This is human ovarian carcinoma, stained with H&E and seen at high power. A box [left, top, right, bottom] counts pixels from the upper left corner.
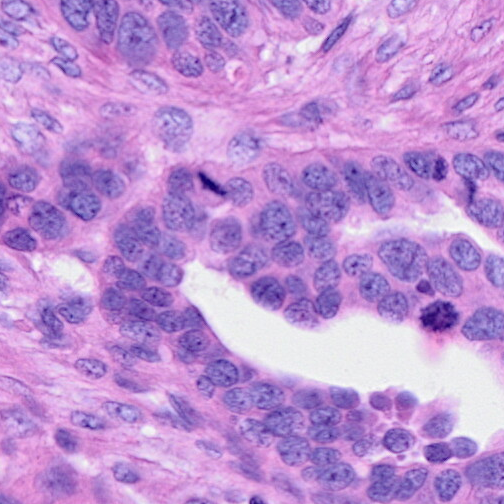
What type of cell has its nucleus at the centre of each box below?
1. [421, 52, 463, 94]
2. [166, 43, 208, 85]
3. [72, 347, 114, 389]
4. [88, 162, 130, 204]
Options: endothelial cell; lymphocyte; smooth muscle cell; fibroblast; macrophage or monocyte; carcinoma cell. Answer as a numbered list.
1. fibroblast
2. carcinoma cell
3. fibroblast
4. carcinoma cell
